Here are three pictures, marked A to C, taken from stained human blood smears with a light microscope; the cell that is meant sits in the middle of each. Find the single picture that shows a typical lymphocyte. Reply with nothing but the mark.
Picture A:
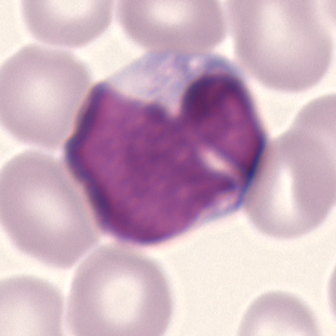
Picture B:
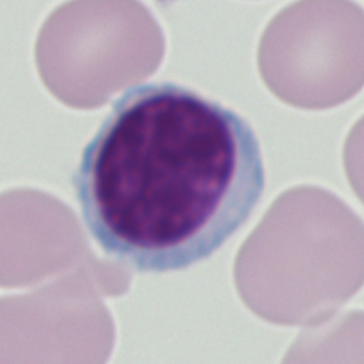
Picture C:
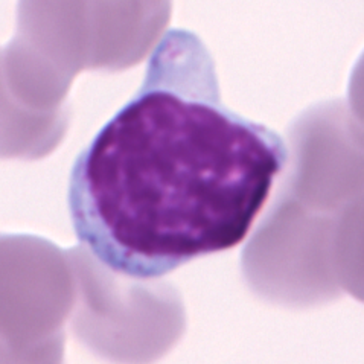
B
